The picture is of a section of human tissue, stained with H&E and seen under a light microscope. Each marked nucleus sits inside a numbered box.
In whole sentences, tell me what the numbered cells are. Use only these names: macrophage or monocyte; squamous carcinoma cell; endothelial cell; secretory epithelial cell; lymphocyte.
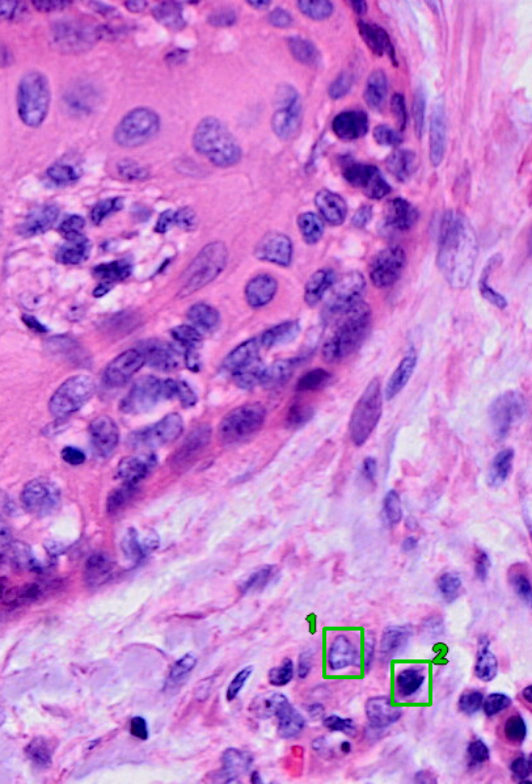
Cell 1 is an endothelial cell and cell 2 is a lymphocyte.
